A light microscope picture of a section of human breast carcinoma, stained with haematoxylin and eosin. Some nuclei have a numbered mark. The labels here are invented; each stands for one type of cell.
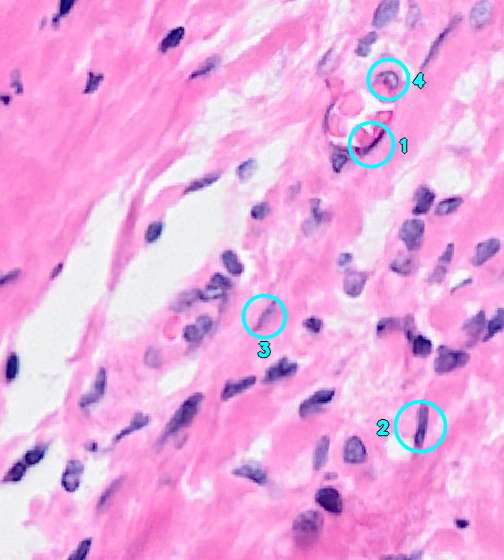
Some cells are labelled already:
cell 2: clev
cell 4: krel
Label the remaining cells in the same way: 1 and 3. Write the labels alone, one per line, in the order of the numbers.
krel
clev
